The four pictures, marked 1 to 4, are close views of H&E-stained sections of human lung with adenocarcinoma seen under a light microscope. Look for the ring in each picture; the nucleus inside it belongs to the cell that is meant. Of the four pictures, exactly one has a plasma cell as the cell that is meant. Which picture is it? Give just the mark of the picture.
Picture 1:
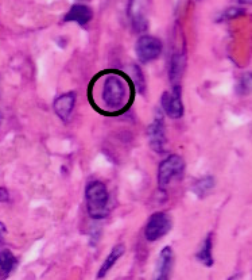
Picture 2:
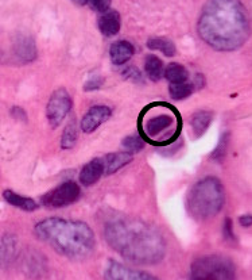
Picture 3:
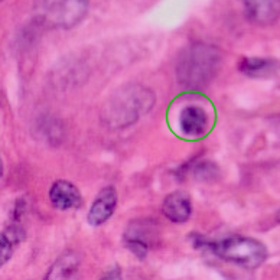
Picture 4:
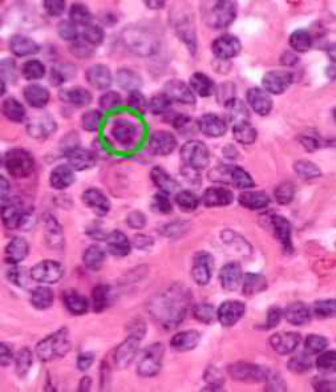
1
